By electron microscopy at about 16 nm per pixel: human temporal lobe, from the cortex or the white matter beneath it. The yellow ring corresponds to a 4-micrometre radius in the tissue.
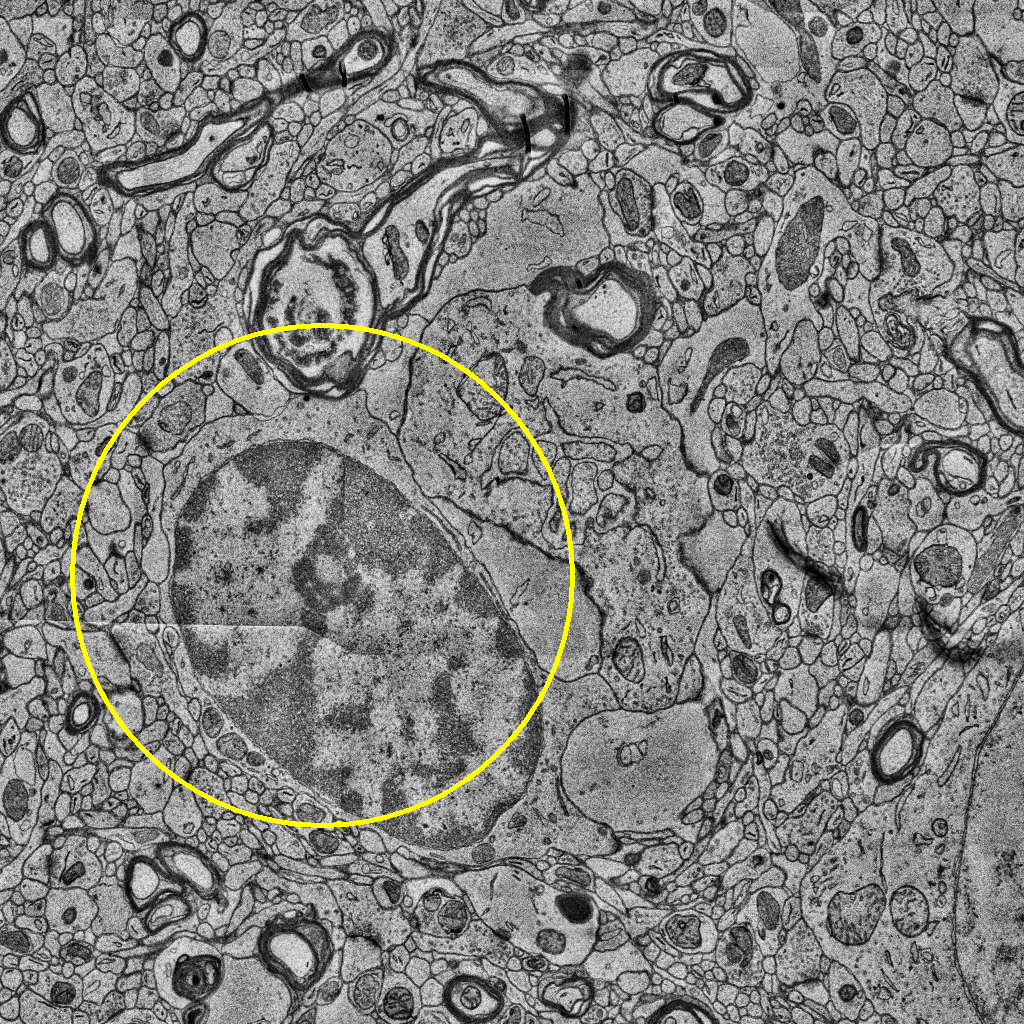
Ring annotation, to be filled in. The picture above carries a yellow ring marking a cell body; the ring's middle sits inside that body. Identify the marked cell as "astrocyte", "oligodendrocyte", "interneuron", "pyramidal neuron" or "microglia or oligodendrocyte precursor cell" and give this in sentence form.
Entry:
The cell at the middle of the ring is a microglial cell or oligodendrocyte precursor cell.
